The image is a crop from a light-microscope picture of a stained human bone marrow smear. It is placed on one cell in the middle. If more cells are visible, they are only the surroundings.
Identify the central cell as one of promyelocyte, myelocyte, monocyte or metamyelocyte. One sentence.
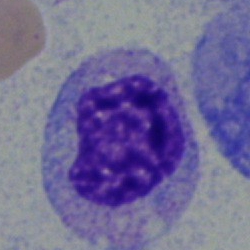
The identification for the central cell is a myelocyte.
